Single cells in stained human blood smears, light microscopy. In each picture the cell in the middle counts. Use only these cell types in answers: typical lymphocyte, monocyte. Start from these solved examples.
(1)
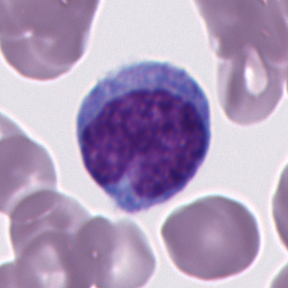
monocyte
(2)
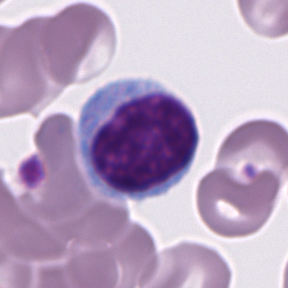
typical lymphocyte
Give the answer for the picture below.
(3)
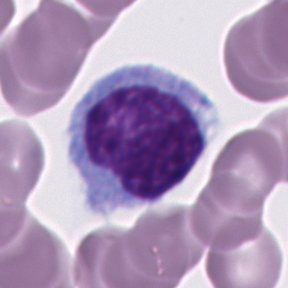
monocyte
